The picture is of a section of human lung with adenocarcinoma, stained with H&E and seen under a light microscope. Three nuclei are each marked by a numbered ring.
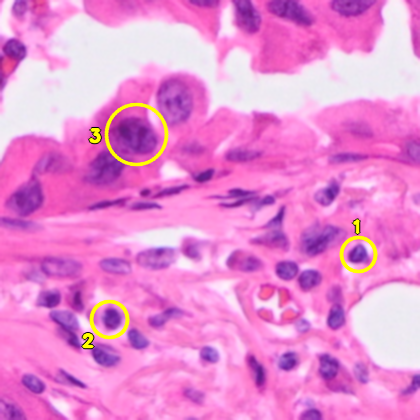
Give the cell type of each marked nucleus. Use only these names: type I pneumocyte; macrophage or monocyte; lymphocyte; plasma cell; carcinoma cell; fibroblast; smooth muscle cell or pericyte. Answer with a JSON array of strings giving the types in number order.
["lymphocyte", "plasma cell", "carcinoma cell"]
